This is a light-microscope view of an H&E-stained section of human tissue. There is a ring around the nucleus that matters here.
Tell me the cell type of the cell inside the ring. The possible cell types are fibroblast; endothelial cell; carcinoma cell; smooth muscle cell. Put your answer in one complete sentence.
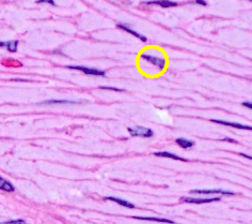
In short, the cell inside the ring on this section is a fibroblast.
